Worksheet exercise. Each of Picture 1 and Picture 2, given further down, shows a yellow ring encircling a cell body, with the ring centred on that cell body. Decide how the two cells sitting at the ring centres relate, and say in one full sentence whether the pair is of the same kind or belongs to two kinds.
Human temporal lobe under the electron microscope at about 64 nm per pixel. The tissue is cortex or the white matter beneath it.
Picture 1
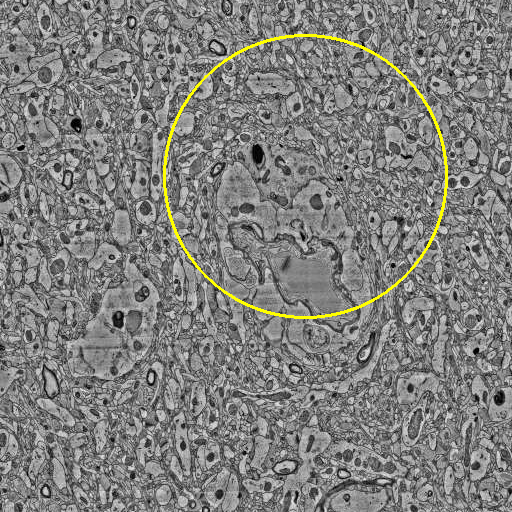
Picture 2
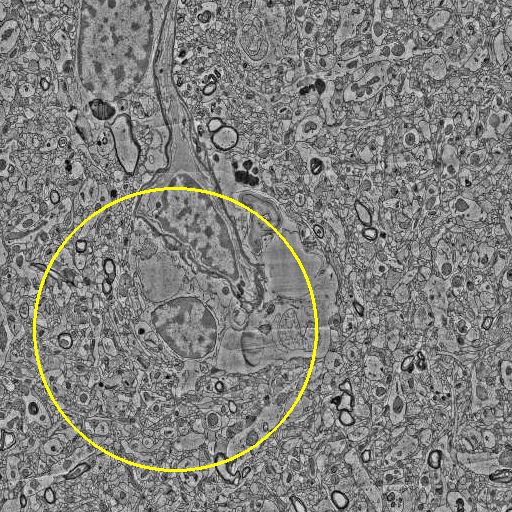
The cells at the ring centres in Picture 1 and Picture 2 belong to two kinds.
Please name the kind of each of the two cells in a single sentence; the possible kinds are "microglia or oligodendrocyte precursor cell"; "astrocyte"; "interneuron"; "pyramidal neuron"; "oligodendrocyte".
In the first picture the ring is centred on an oligodendrocyte, and in the second on a microglial cell or oligodendrocyte precursor cell.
